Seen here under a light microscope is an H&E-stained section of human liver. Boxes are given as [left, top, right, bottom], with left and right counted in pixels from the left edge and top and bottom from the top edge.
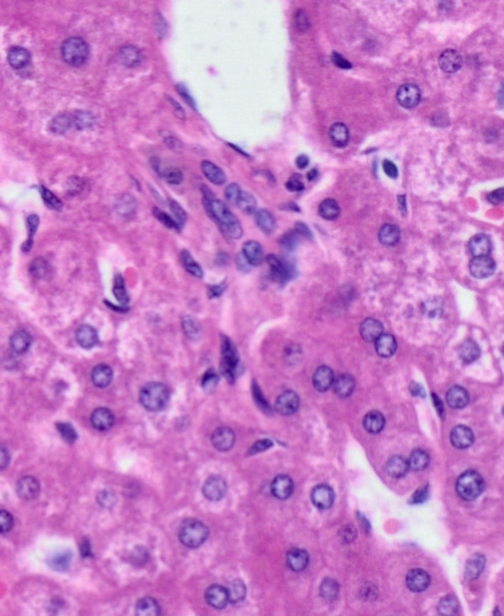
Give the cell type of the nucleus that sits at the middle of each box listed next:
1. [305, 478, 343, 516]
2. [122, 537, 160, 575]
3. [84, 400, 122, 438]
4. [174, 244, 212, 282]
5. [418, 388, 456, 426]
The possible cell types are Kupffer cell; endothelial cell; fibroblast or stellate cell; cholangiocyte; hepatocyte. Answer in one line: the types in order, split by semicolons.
hepatocyte; hepatocyte; hepatocyte; fibroblast or stellate cell; fibroblast or stellate cell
